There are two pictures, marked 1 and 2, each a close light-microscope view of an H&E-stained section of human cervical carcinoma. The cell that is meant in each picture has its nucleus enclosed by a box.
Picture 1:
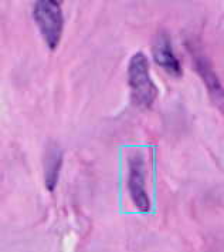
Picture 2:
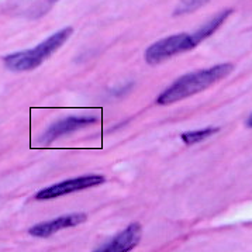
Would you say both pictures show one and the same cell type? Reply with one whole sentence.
Yes, both are fibroblasts.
